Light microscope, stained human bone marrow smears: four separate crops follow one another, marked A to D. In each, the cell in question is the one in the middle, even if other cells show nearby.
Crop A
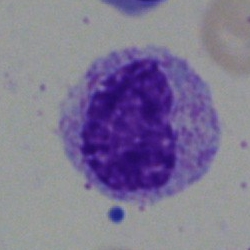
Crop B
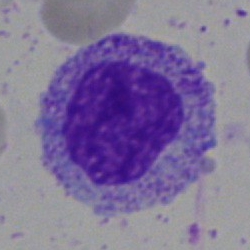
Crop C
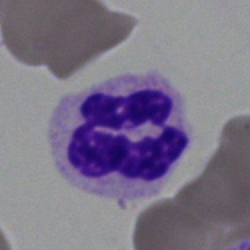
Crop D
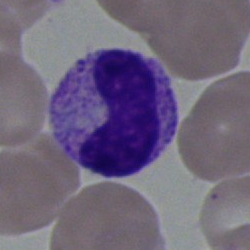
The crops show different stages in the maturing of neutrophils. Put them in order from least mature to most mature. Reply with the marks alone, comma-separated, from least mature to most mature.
B, A, D, C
